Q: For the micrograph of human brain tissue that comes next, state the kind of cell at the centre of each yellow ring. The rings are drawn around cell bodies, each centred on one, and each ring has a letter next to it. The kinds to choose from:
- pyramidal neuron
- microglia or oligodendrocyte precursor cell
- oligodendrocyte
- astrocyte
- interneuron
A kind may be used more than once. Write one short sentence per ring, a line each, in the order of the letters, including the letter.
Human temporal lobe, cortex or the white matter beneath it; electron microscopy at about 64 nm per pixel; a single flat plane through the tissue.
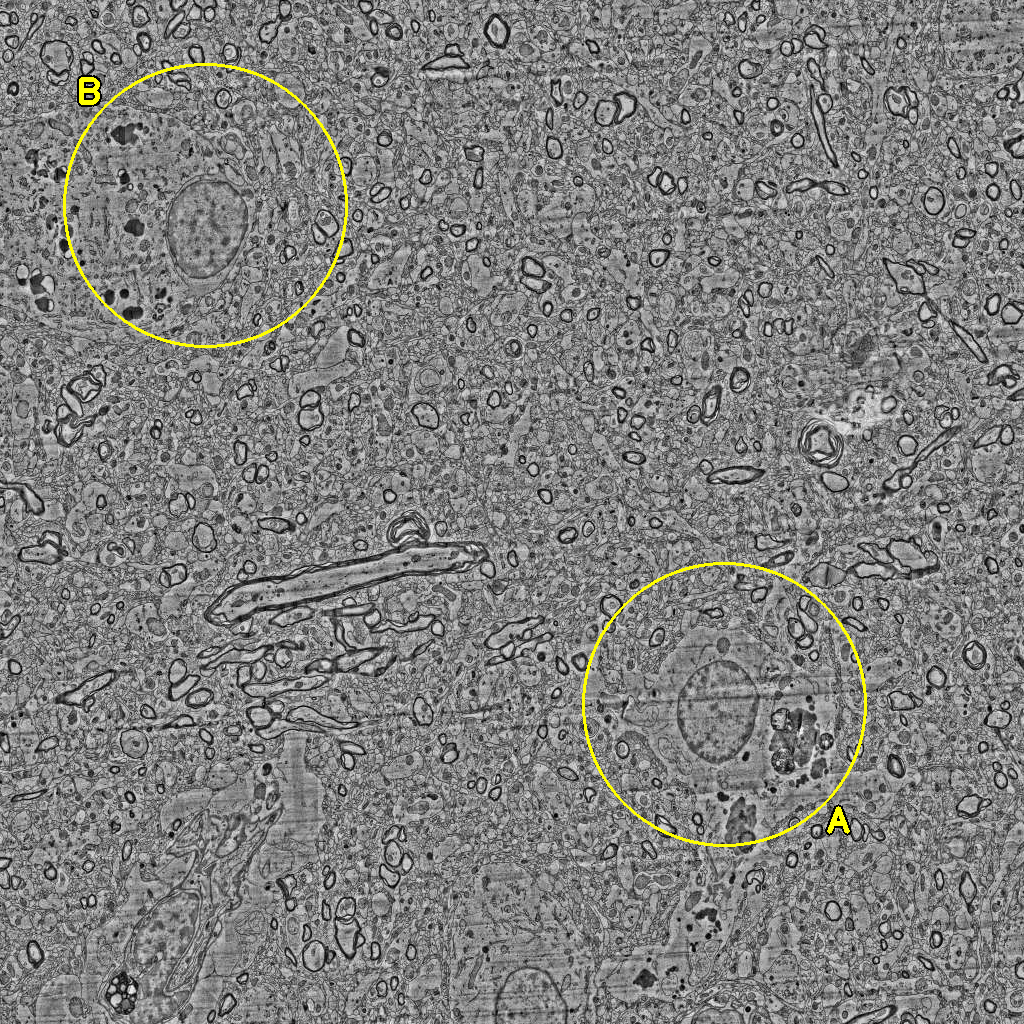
The cell ringed as A is an astrocyte.
The cell ringed as B is an oligodendrocyte.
